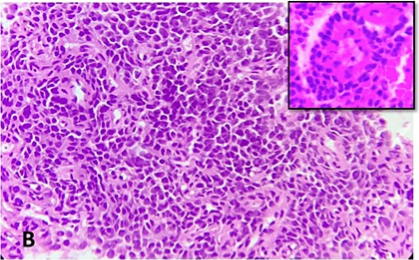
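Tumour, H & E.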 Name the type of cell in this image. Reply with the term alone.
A: Small round cells.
